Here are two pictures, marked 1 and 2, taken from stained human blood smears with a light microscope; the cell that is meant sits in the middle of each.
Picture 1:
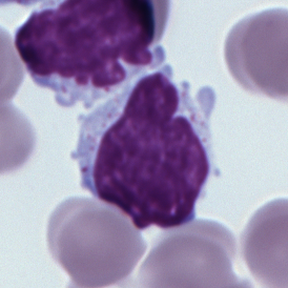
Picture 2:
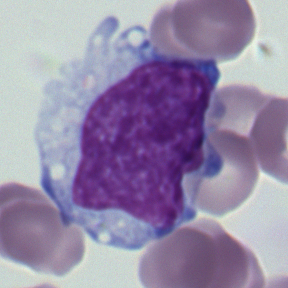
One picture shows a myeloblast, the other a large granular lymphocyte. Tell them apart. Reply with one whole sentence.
In picture 1 the cell is a large granular lymphocyte; in picture 2, a myeloblast.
